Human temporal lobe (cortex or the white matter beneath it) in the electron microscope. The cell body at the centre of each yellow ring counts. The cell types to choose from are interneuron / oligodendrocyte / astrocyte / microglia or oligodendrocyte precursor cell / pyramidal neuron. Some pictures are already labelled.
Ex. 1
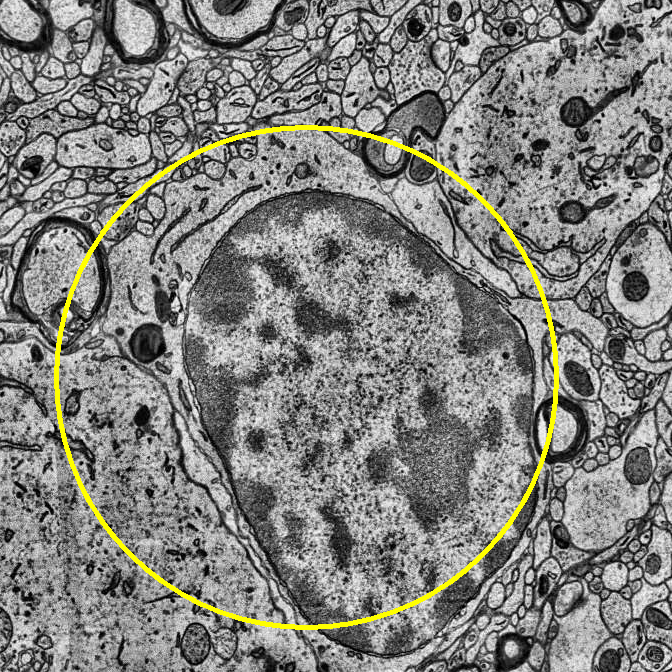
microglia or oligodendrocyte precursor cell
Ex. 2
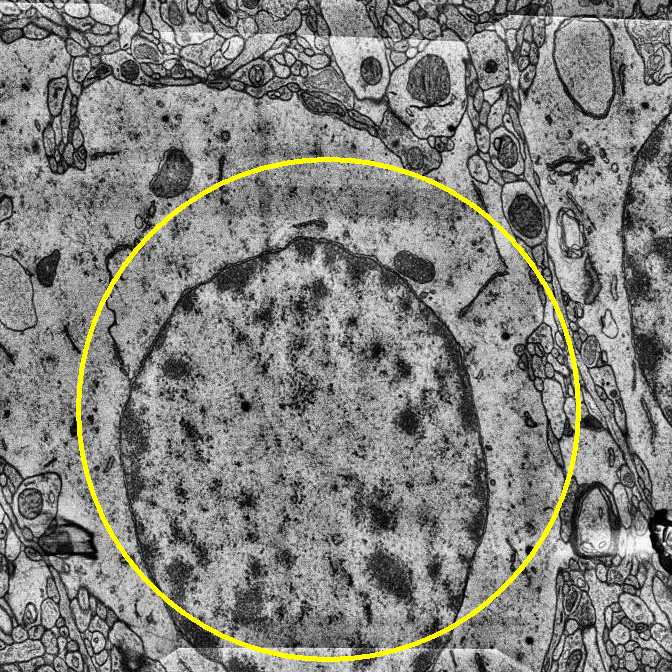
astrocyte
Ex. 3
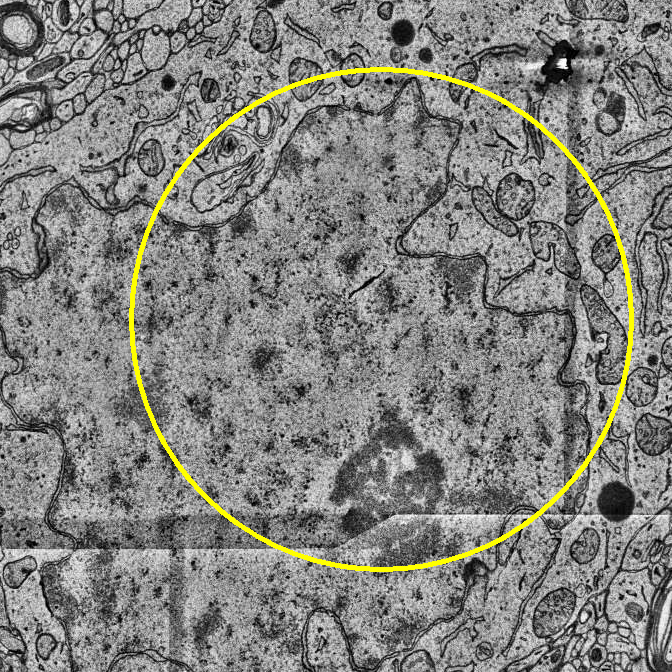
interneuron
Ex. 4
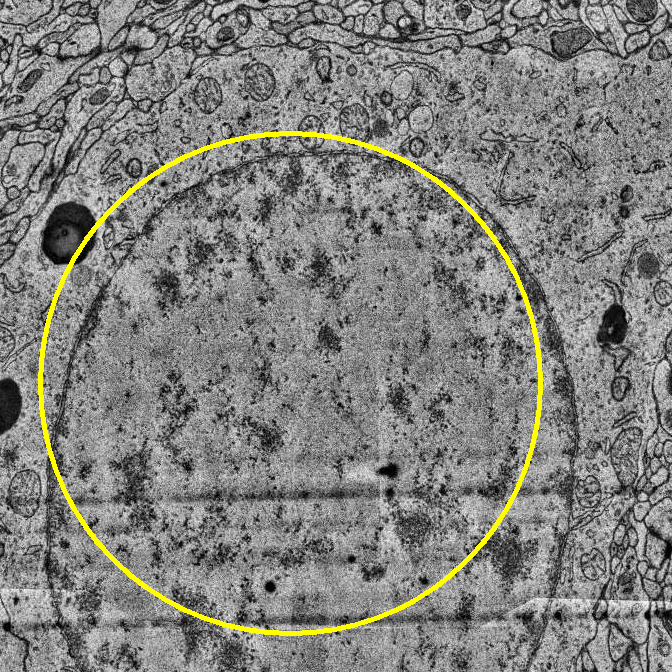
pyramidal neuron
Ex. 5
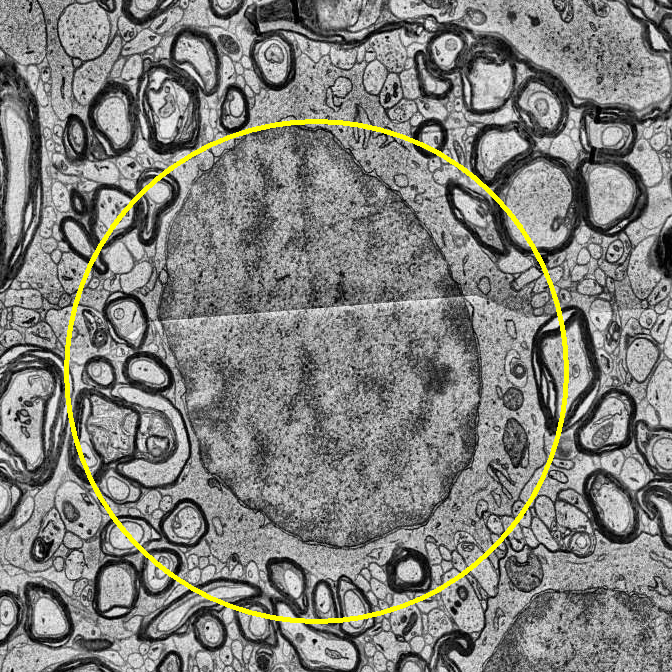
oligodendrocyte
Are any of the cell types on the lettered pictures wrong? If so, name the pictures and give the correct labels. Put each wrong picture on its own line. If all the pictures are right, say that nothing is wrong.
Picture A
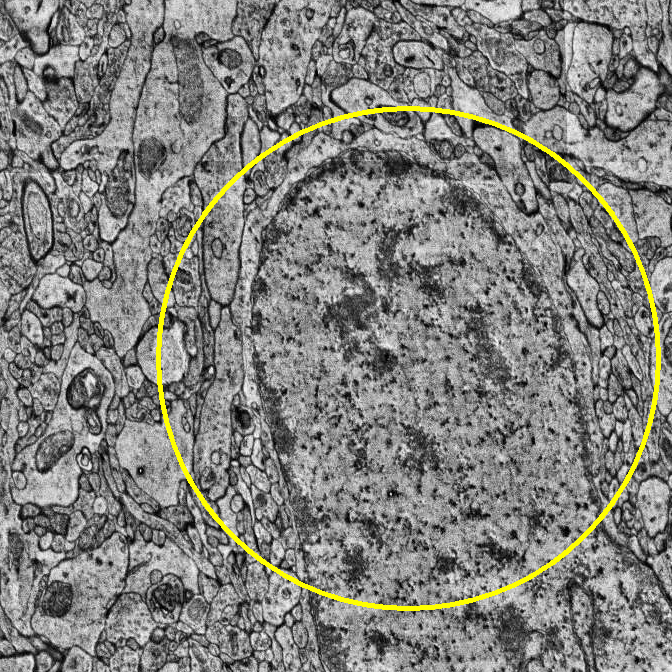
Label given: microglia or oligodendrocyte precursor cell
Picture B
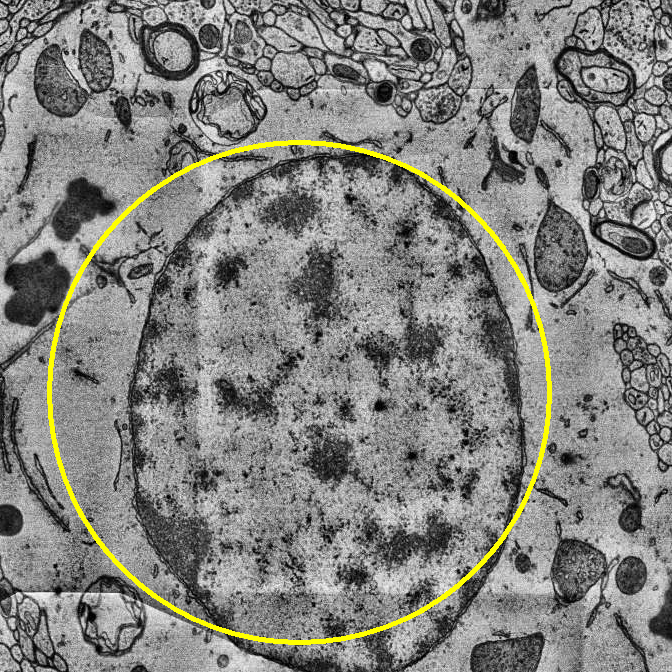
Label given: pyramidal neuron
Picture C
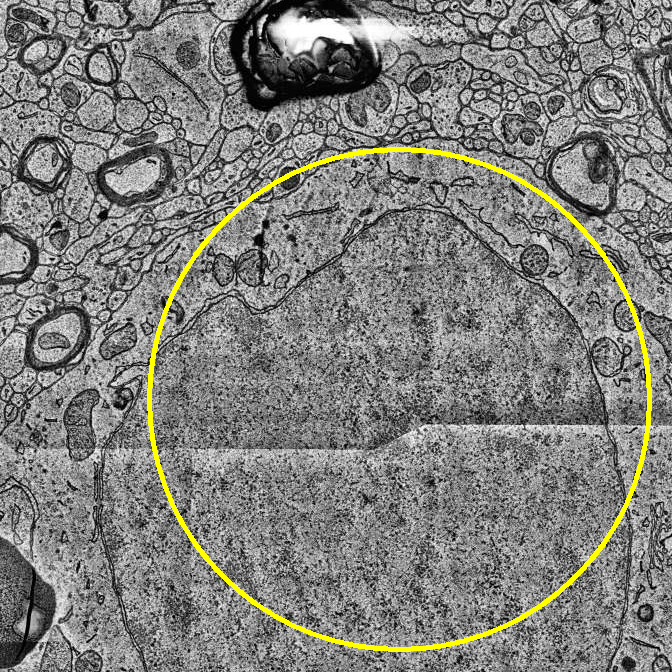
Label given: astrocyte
B: change pyramidal neuron to astrocyte
C: change astrocyte to interneuron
